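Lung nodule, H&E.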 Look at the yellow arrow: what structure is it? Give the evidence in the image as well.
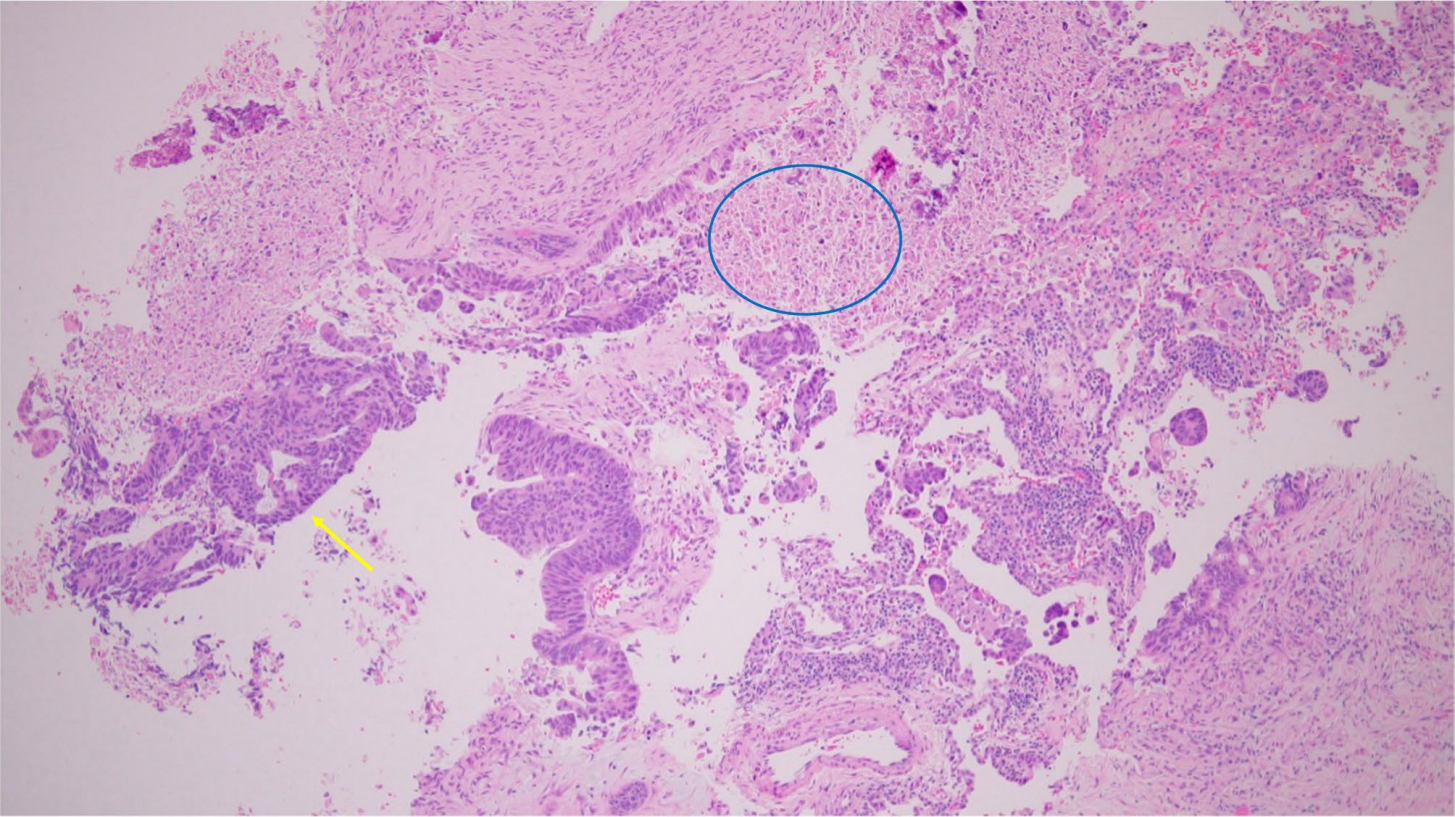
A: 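The arrow points at a cluster of angulated, branching glands lined by crowded epithelium. The lining cells have enlarged, elongated, hyperchromatic nuclei that are stratified. The gland outlines are irregular and fused rather than round and evenly spaced.
Answer: irregular malignant glands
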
